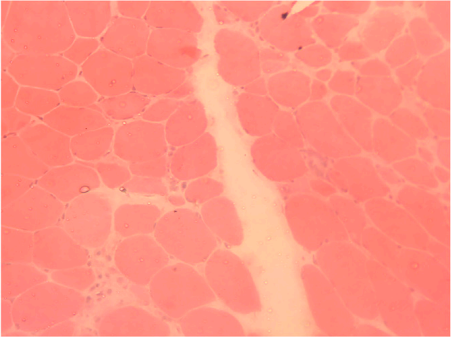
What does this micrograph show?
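Skeletal muscle fibers cut in cross section appear as pink, polygonal to rounded profiles packed closely together, with variation in their size. Small dark nuclei lie at the edges of the fibers, and a broad pale band of connective tissue runs through the field separating groups of fibers.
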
